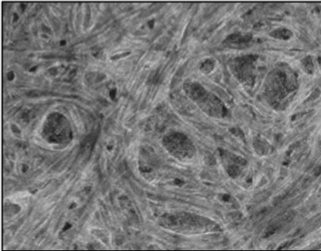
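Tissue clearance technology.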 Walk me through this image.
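Rather than running in orderly parallel bundles, the threads are distorted, curving into loops and whorls. Many of these loops encircle round or oval dark spaces of varying size. Between the loops the fibres cross each other at many angles, giving the field a tangled, mesh-like look. Small dark dots are scattered among the fibres.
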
